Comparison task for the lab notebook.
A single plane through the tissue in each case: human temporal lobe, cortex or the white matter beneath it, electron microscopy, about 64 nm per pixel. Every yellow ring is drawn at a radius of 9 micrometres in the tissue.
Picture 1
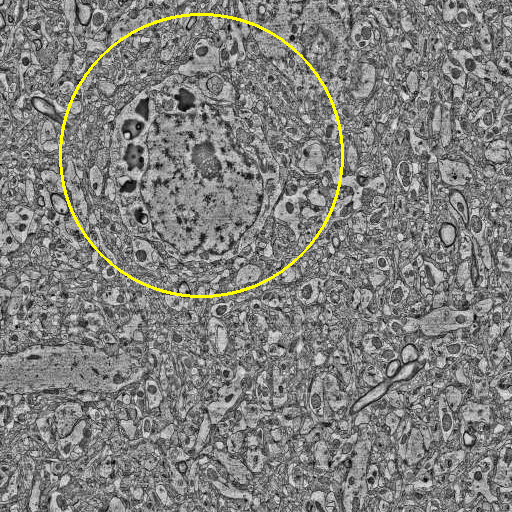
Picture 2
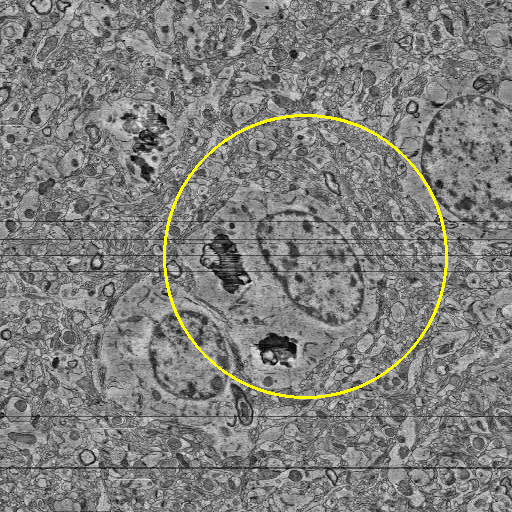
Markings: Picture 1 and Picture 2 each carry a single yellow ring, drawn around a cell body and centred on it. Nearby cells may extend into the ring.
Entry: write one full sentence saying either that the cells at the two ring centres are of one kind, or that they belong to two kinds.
The cells sitting at the ring centres in Picture 1 and Picture 2 belong to two kinds.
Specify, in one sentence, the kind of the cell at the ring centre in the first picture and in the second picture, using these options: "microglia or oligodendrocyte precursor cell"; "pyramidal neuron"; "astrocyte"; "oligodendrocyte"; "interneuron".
So the first is an interneuron, the second an astrocyte.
